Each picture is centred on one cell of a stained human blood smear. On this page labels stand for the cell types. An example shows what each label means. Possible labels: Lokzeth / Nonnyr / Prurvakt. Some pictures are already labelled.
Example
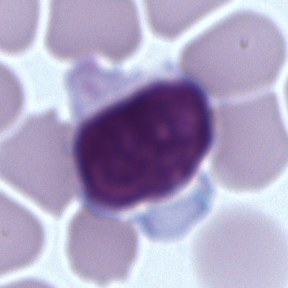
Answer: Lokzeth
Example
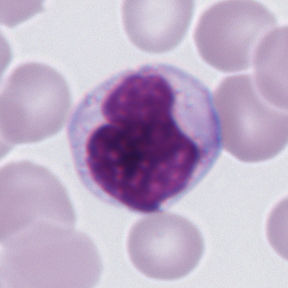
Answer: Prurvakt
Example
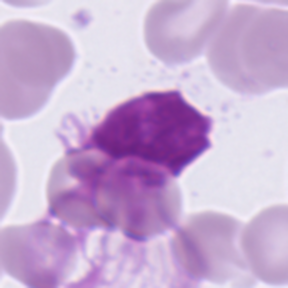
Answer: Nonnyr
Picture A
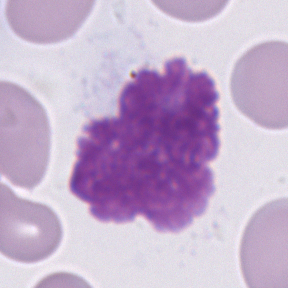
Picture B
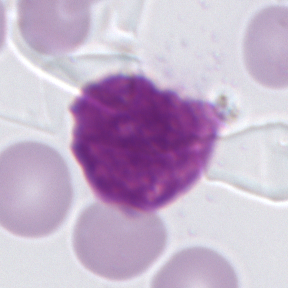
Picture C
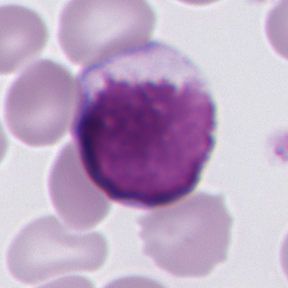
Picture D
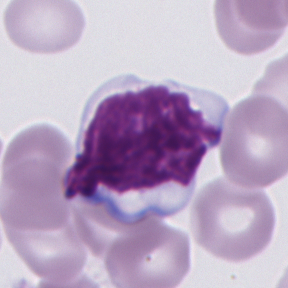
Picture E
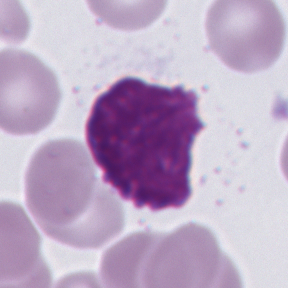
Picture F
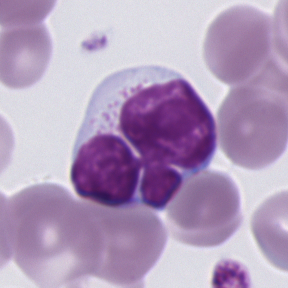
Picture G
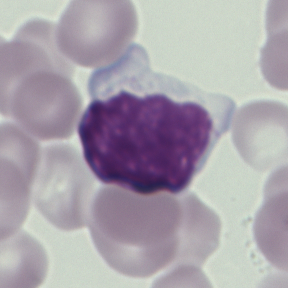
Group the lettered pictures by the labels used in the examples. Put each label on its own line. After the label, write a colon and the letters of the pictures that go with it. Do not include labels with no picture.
Nonnyr: A, B, E
Prurvakt: C, D, F, G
